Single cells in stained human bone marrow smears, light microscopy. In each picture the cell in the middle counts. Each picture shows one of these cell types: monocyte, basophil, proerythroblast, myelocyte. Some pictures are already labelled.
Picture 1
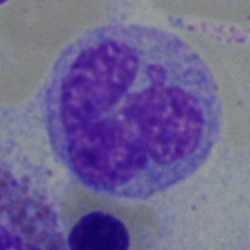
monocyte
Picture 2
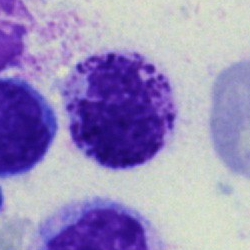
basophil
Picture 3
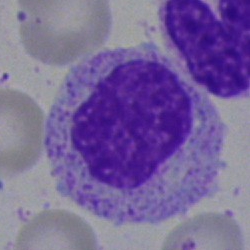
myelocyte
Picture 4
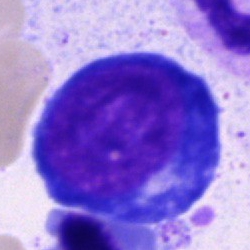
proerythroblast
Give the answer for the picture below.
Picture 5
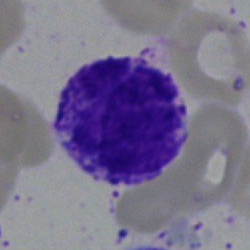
basophil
